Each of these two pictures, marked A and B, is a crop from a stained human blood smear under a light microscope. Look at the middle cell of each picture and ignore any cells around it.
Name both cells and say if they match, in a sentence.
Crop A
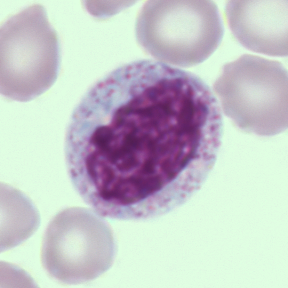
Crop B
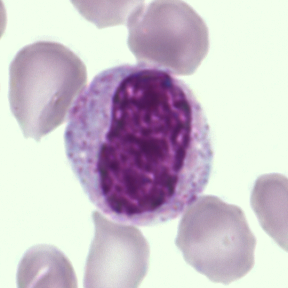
Yes, both crops show metamyelocytes, and the two match.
